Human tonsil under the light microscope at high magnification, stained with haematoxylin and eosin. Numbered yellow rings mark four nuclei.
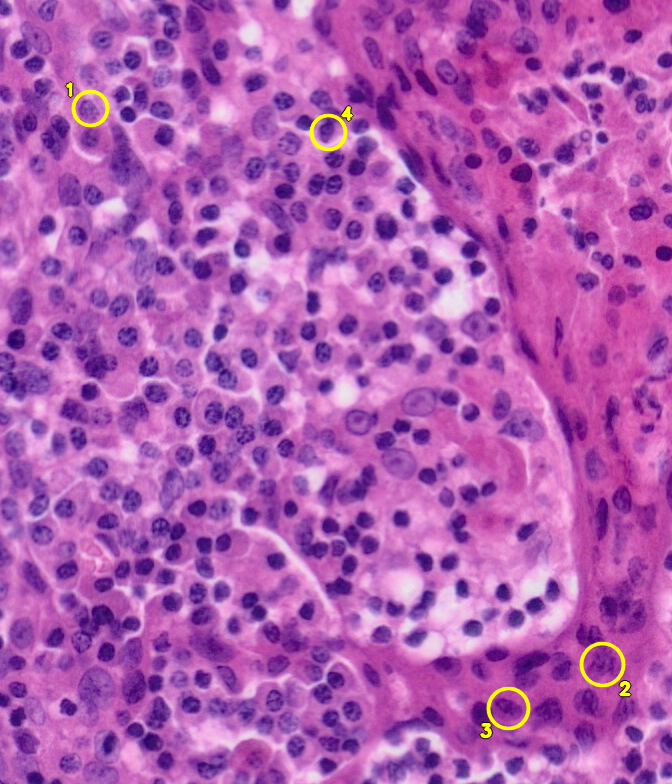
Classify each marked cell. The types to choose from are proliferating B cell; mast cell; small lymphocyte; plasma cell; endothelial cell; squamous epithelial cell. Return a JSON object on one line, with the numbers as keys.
{"1": "plasma cell", "2": "squamous epithelial cell", "3": "squamous epithelial cell", "4": "plasma cell"}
